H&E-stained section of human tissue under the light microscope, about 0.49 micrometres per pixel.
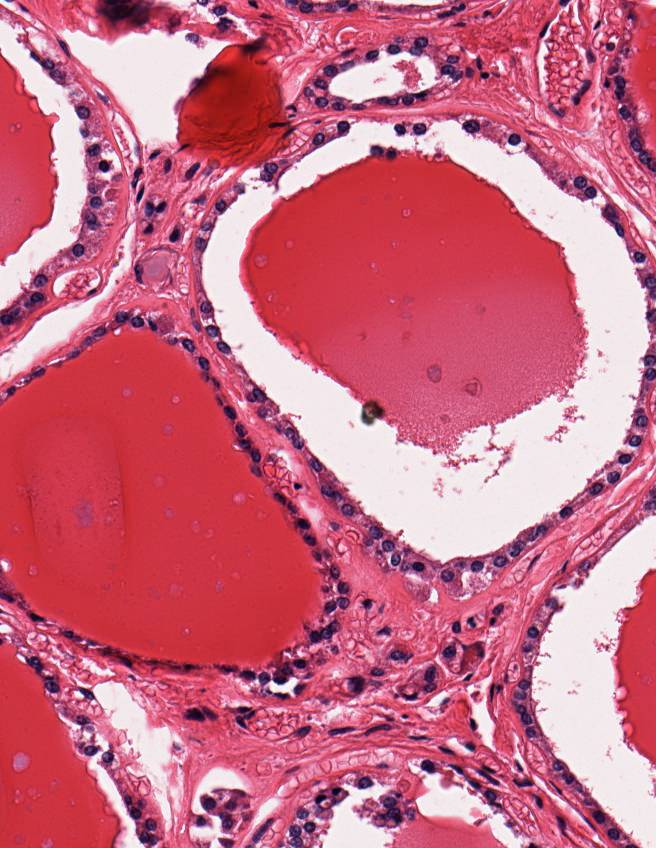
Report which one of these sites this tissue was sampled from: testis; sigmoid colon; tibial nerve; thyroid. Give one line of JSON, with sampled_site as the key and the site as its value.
{"sampled_site": "thyroid"}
